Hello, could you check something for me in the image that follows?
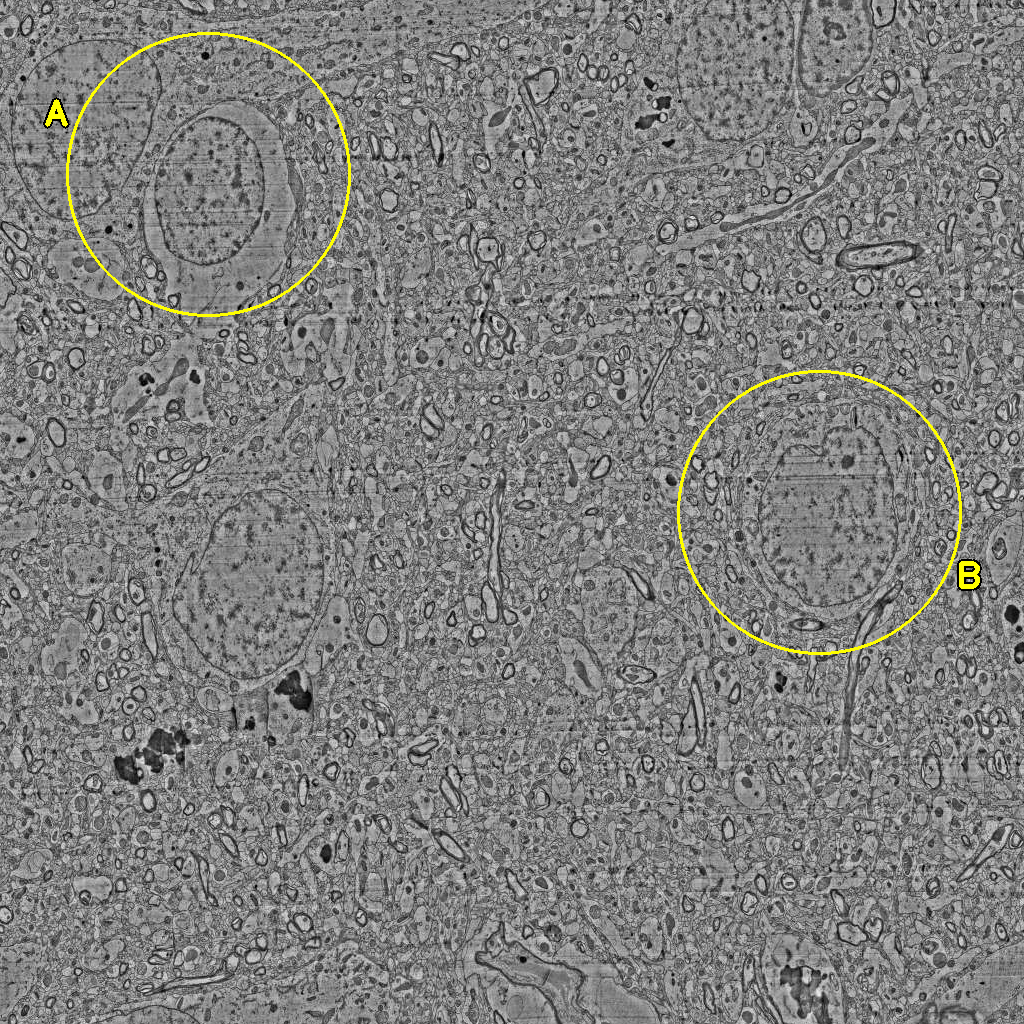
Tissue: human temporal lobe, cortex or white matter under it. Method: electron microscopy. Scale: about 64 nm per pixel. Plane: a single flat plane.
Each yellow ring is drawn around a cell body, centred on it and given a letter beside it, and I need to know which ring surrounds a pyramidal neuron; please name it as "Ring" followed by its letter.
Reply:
Ring B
